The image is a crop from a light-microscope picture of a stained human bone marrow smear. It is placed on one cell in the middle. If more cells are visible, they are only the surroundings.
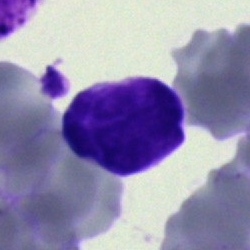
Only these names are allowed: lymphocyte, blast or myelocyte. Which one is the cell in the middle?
lymphocyte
